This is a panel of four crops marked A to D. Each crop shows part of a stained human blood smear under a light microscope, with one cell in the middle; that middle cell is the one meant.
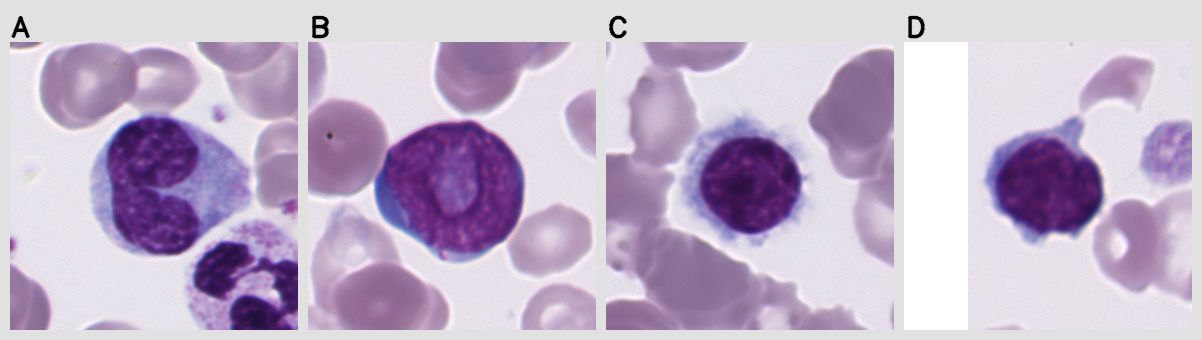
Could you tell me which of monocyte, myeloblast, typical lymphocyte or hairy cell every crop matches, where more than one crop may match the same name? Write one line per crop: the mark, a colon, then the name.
A: monocyte
B: myeloblast
C: hairy cell
D: typical lymphocyte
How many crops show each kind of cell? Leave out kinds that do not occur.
monocyte: 1
myeloblast: 1
hairy cell: 1
typical lymphocyte: 1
